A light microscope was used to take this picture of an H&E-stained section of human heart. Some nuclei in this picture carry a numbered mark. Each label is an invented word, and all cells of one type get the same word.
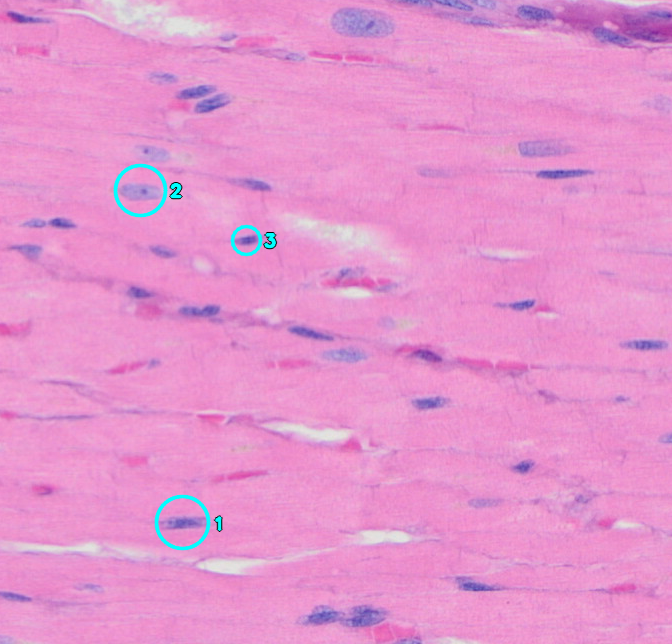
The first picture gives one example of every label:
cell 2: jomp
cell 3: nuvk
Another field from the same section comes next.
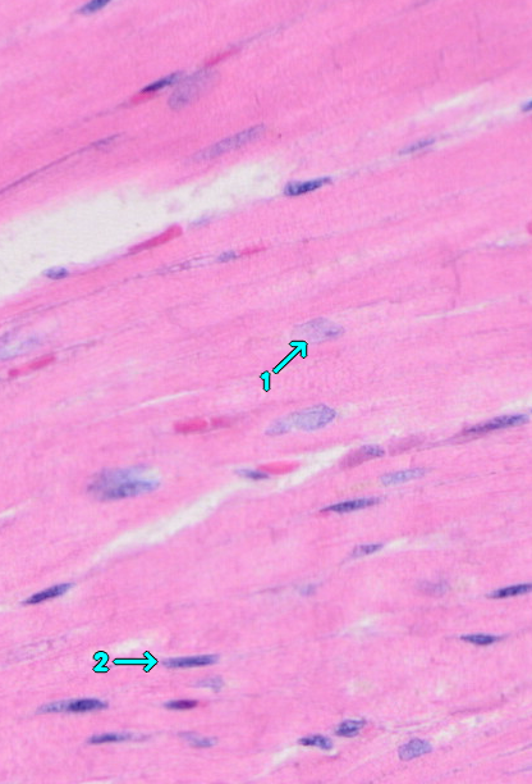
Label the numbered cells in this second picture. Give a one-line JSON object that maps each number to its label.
{"1": "jomp", "2": "nuvk"}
